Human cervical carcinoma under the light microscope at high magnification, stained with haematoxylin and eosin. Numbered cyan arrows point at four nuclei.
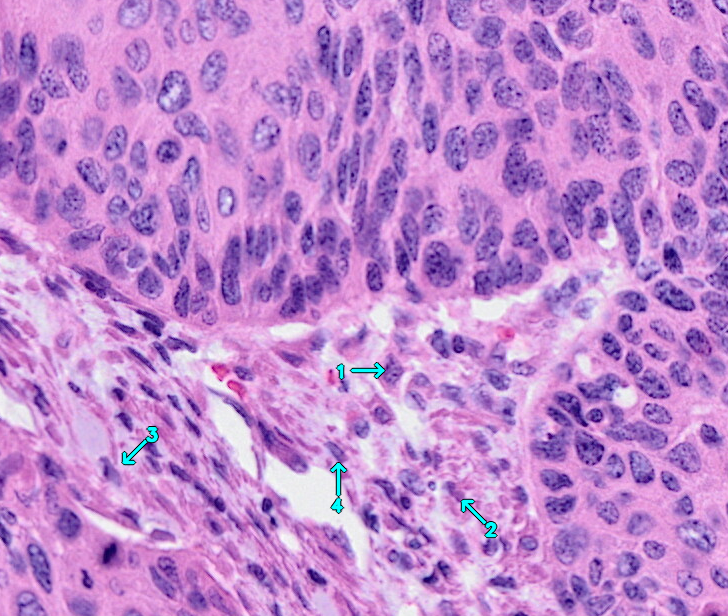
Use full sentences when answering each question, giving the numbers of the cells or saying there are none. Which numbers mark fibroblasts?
Regarding the numbered cells 2, 3 and 4, these are fibroblasts.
